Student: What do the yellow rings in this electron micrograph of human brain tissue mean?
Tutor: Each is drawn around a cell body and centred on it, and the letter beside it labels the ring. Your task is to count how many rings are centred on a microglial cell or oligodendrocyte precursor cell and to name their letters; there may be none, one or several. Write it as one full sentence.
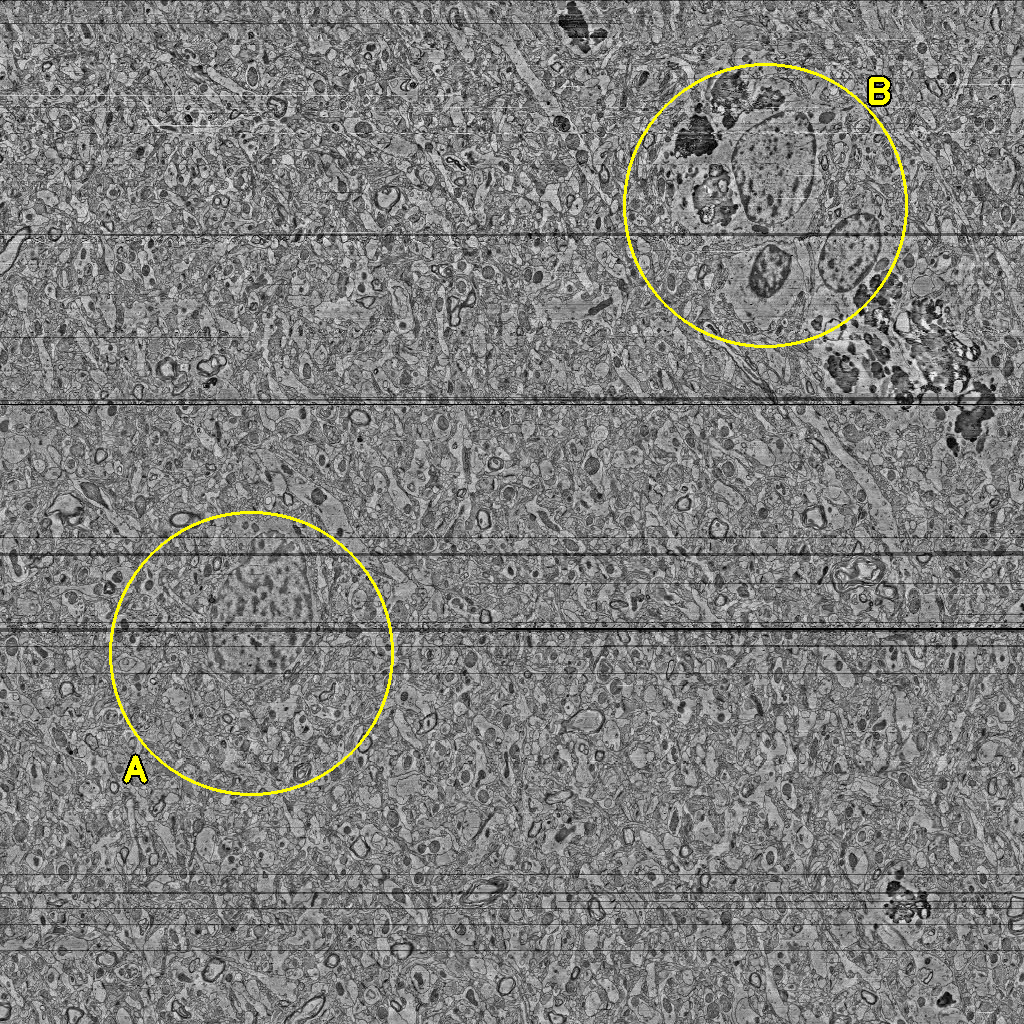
None of the rings picks out a microglial cell or oligodendrocyte precursor cell as its centre, so the count is zero.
